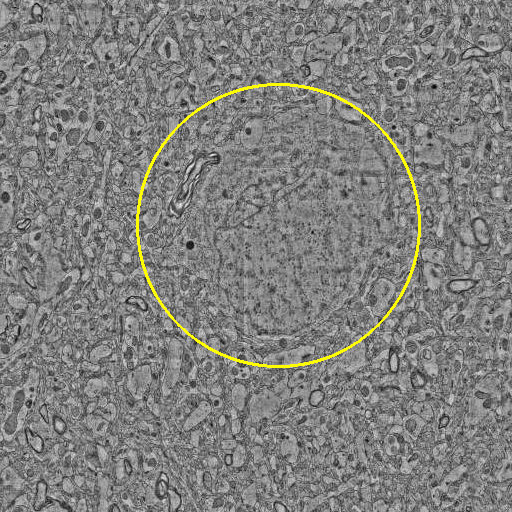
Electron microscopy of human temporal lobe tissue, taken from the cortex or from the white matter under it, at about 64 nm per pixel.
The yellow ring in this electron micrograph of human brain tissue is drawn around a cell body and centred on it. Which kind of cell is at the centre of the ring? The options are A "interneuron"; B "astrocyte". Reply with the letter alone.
A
